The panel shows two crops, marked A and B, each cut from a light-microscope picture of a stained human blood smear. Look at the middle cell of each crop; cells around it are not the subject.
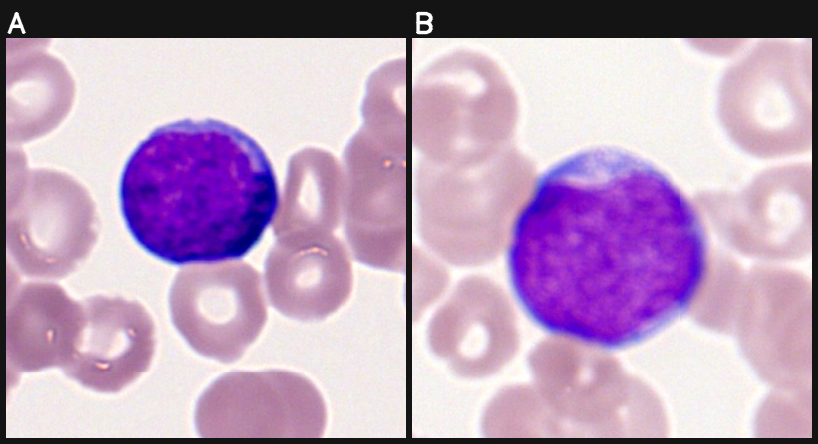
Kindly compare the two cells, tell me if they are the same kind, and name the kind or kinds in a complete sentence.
Yes, both crops are centred on myeloblasts.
